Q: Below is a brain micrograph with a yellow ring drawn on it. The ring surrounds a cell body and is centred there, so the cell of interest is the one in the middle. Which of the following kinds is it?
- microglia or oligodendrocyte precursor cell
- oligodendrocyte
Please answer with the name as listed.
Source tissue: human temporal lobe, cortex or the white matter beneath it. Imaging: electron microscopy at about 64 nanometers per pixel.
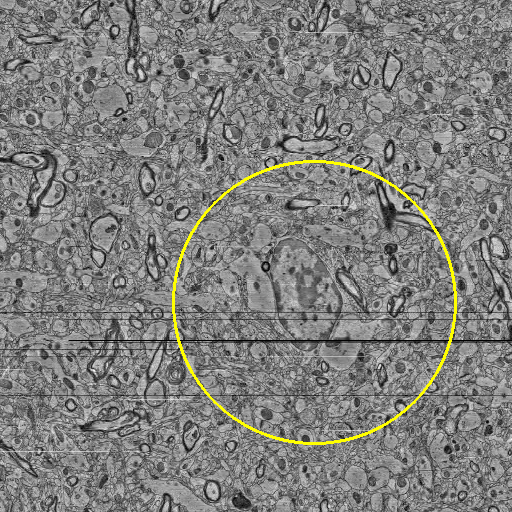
microglia or oligodendrocyte precursor cell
